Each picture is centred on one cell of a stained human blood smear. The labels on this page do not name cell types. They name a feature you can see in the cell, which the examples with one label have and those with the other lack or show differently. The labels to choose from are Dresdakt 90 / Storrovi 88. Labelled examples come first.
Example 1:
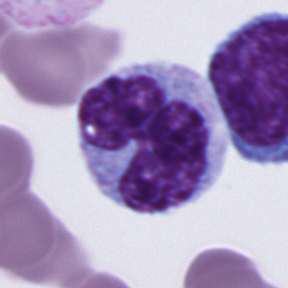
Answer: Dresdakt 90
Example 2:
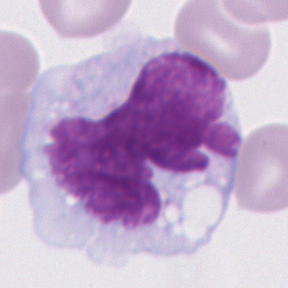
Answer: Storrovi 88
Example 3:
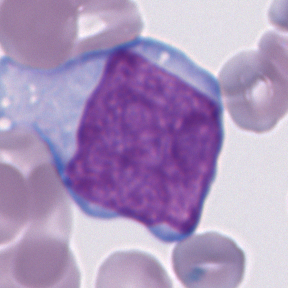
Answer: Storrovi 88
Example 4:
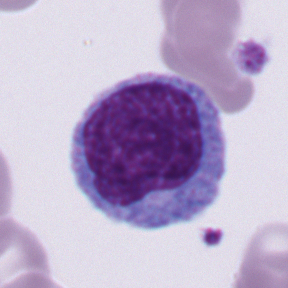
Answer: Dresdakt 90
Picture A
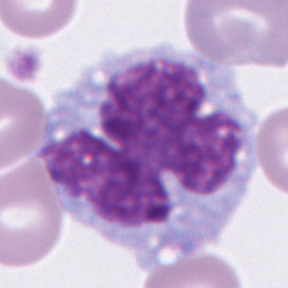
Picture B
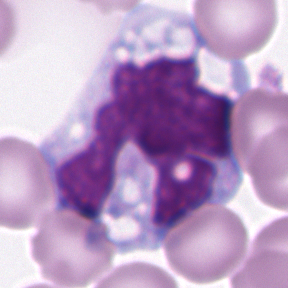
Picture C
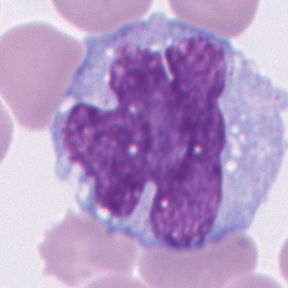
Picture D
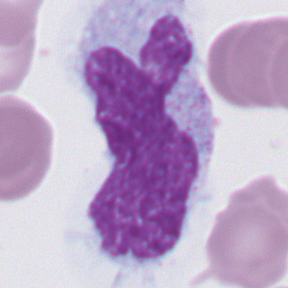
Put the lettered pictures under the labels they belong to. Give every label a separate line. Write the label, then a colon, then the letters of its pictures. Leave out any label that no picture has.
Dresdakt 90: D
Storrovi 88: A, B, C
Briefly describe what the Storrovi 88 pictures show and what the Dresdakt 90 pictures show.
Storrovi 88, vacuoles present; Dresdakt 90, no vacuoles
